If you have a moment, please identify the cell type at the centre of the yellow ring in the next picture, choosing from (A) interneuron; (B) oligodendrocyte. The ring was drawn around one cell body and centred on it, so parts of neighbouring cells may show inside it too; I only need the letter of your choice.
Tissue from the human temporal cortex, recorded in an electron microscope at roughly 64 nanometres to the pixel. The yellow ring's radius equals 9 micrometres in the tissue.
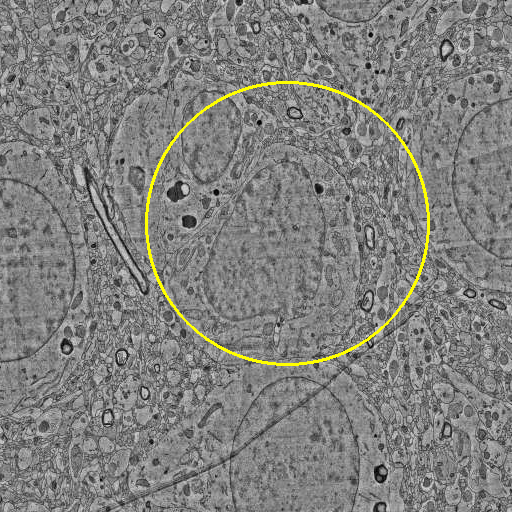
A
